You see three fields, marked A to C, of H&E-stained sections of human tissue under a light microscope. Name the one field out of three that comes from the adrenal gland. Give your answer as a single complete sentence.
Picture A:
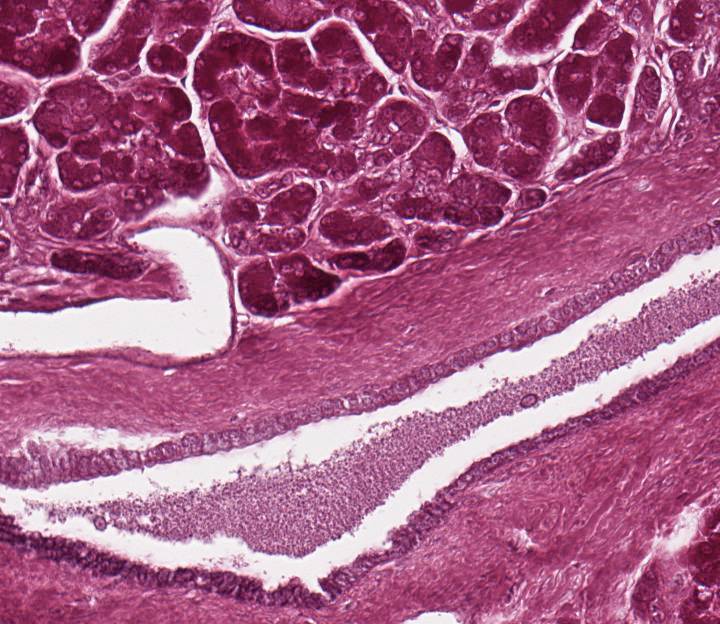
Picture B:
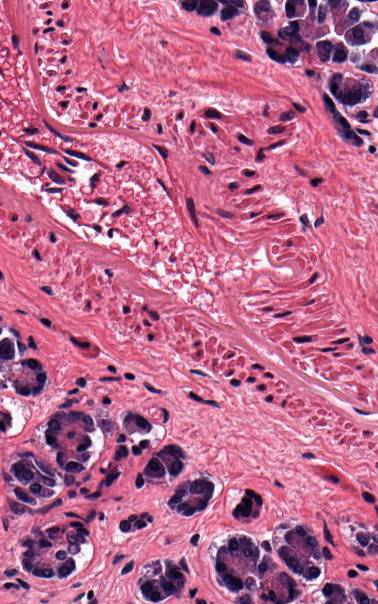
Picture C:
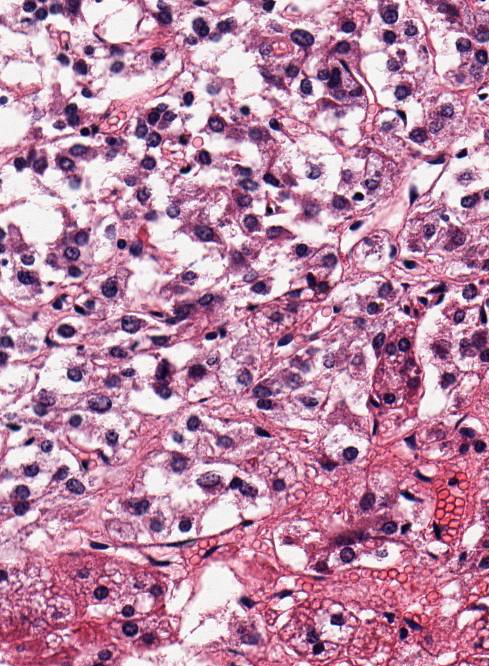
Picture C comes from the adrenal gland.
